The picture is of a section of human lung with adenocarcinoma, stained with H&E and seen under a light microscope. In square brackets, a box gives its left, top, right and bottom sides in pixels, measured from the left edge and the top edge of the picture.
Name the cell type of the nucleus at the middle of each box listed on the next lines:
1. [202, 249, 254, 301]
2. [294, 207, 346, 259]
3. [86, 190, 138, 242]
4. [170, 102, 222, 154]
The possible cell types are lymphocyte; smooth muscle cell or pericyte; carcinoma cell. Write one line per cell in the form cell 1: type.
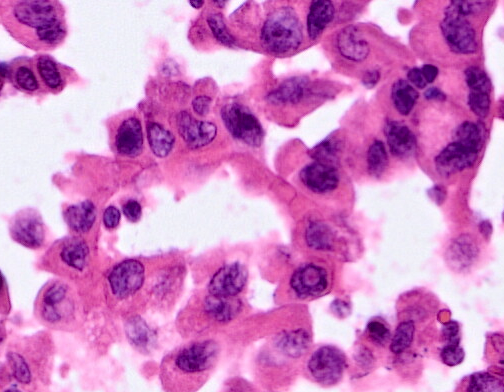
cell 1: carcinoma cell
cell 2: carcinoma cell
cell 3: lymphocyte
cell 4: carcinoma cell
